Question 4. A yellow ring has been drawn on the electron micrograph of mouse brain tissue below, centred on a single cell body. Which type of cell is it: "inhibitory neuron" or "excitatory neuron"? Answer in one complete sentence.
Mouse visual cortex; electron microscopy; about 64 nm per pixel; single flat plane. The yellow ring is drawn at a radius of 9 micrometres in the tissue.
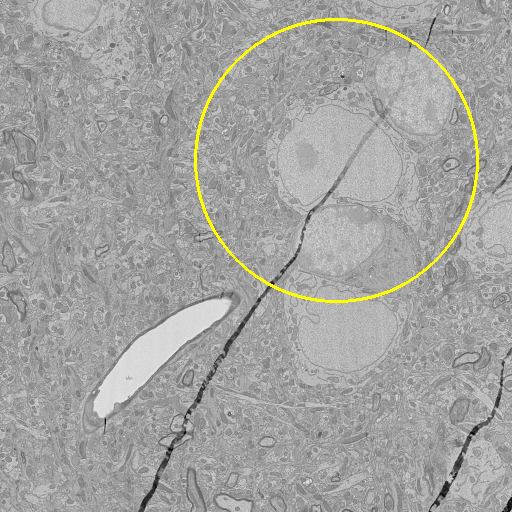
This cell body belongs to an excitatory neuron.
